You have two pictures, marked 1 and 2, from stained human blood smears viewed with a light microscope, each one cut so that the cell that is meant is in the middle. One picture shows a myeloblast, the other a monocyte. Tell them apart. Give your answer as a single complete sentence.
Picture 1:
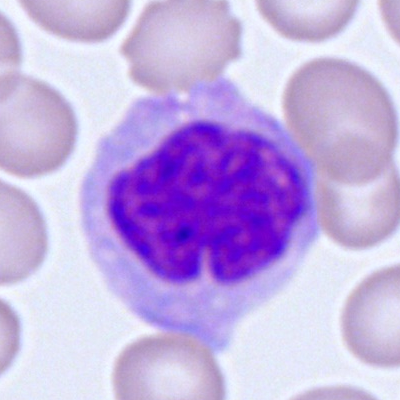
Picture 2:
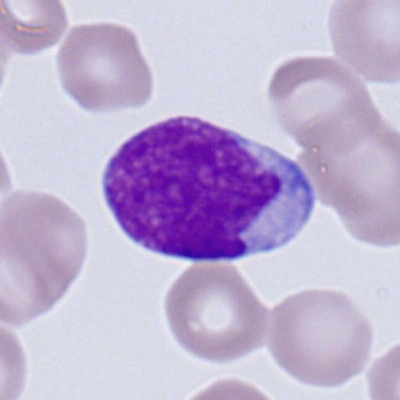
The cell in picture 1 is a monocyte, and the one in picture 2 is a myeloblast.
